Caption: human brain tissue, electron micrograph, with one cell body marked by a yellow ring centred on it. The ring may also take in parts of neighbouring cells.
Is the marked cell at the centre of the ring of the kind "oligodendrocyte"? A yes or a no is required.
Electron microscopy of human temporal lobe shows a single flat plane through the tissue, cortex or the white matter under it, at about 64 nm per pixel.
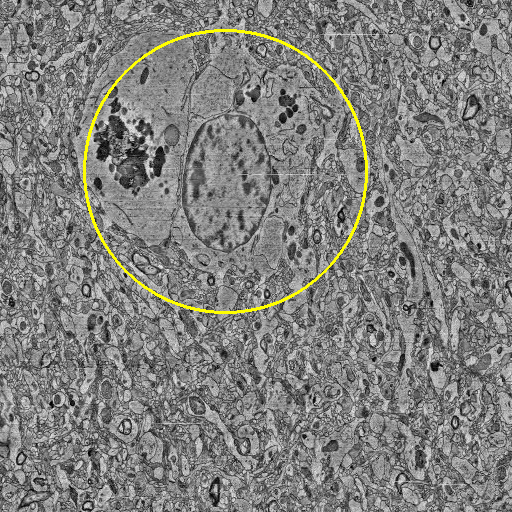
no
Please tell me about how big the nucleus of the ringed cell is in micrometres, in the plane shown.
Roughly 9 by 6 micrometres; in this plane, clearly longer than it is wide.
